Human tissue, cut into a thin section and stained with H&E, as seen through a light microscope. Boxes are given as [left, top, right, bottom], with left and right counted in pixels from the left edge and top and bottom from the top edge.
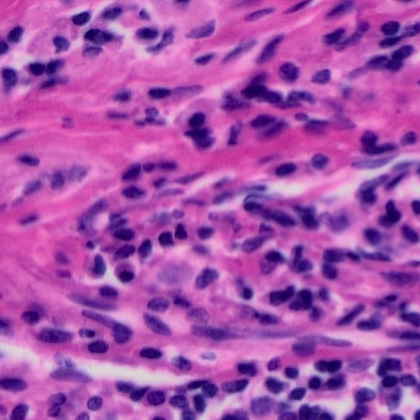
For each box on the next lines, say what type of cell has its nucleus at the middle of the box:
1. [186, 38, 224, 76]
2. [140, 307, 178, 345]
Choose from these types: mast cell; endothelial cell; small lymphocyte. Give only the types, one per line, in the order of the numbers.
mast cell
endothelial cell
